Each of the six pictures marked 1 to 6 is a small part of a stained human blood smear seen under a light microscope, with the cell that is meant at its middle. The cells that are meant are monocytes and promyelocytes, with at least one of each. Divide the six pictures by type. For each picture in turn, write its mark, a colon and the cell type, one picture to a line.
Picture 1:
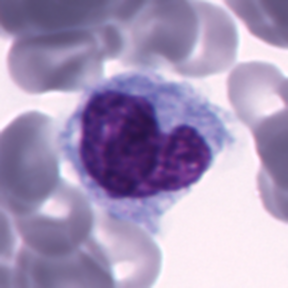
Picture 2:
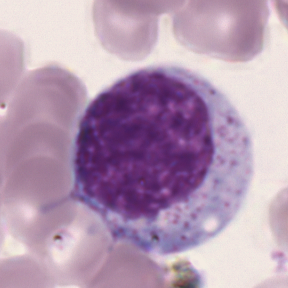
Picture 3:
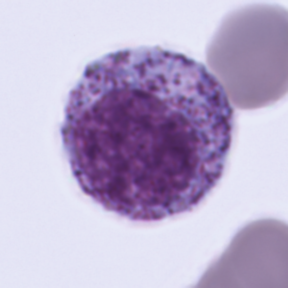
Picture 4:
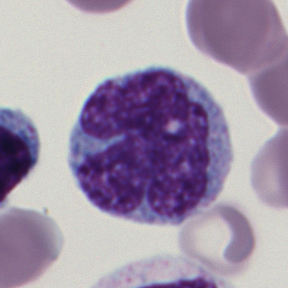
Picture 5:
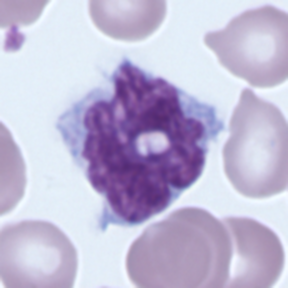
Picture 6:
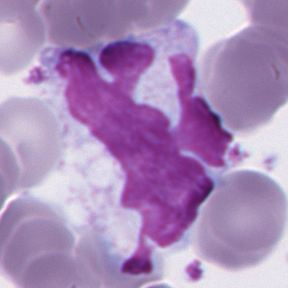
1: monocyte
2: promyelocyte
3: promyelocyte
4: monocyte
5: monocyte
6: monocyte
